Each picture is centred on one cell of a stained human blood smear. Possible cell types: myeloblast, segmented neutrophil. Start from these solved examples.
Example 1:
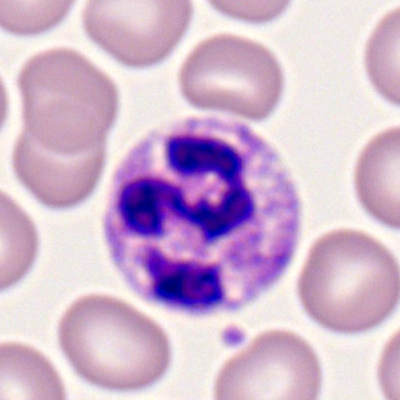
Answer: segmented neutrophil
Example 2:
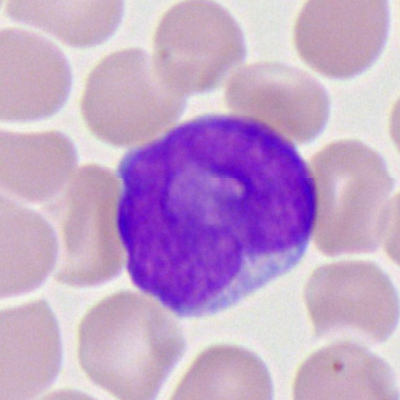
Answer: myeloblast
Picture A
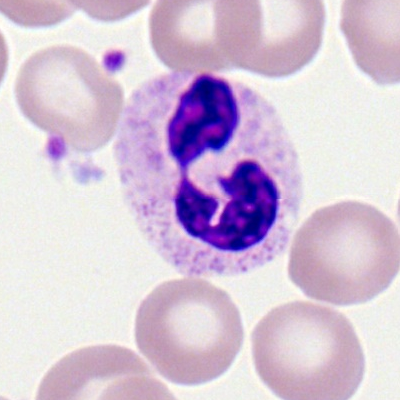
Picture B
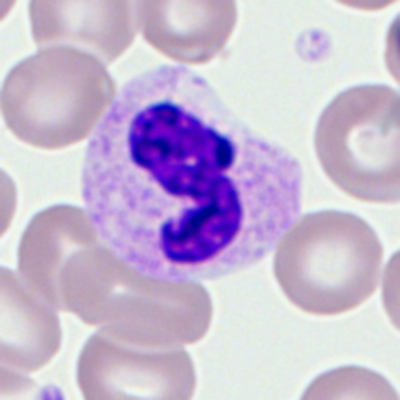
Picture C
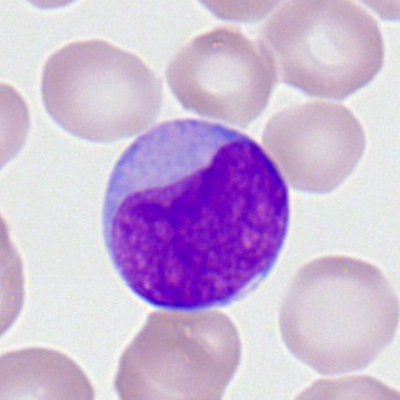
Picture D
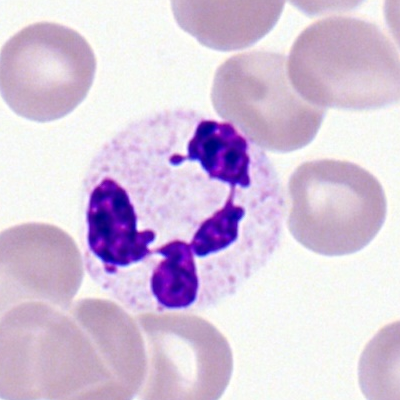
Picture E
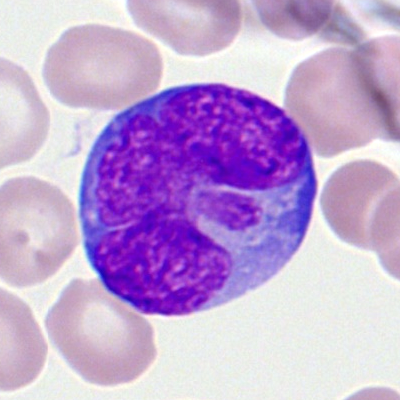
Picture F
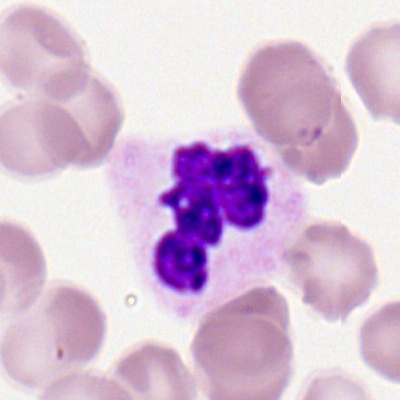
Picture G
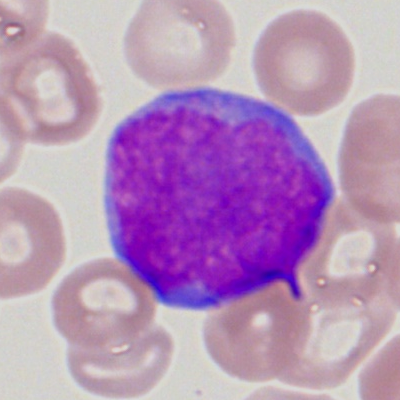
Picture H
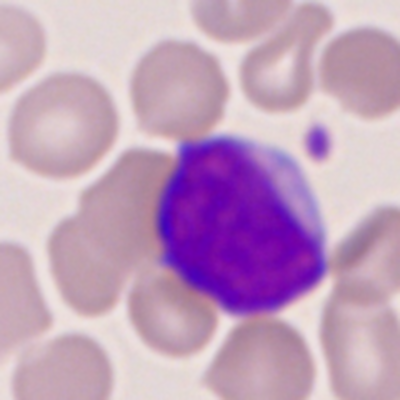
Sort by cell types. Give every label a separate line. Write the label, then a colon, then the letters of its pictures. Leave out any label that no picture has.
myeloblast: C, E, G, H
segmented neutrophil: A, B, D, F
